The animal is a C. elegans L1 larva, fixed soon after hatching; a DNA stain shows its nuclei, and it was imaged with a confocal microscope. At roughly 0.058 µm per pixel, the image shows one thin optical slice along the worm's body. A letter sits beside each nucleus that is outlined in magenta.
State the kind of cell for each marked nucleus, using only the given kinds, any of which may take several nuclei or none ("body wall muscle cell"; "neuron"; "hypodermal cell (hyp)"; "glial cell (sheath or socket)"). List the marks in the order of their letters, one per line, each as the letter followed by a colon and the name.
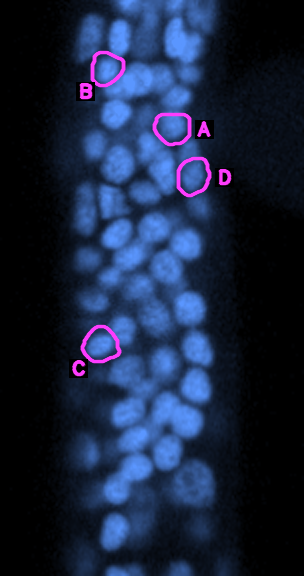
A: neuron
B: glial cell (sheath or socket)
C: neuron
D: body wall muscle cell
